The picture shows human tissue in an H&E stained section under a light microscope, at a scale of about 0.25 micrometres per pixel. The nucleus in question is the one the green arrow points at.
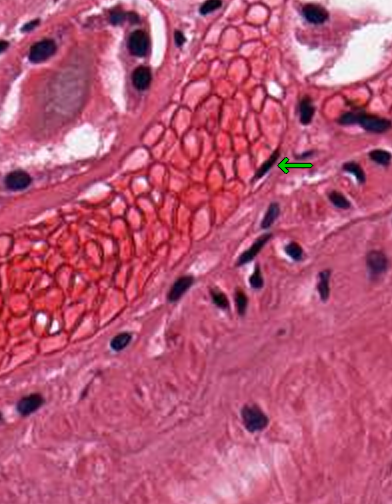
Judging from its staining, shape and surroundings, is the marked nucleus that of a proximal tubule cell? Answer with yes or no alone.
no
